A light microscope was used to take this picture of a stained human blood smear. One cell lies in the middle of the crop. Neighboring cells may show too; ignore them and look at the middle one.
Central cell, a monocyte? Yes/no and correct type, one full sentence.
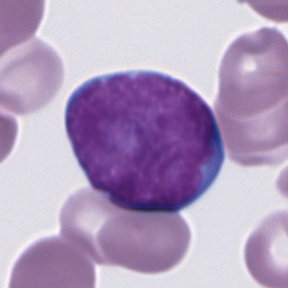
No, what sits in the centre of the crop is a myeloblast rather than a monocyte.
